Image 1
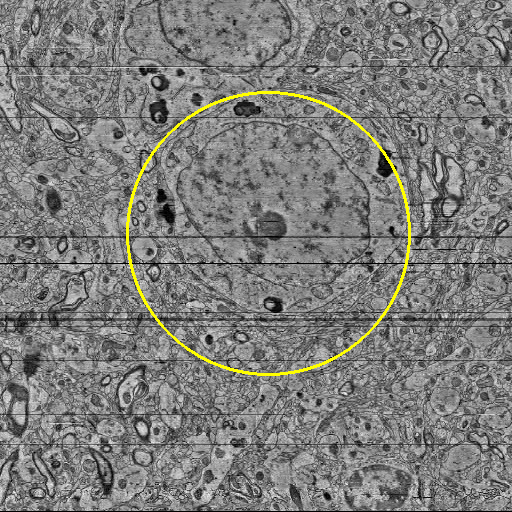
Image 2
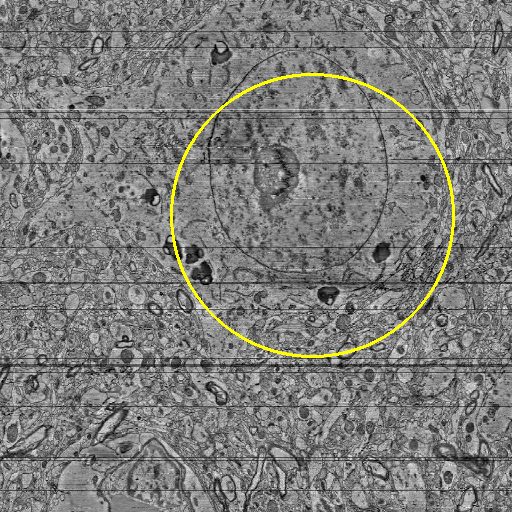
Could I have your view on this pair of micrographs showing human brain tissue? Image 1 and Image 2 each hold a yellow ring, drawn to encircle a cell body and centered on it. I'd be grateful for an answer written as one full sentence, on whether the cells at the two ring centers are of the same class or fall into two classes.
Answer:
The cells at the centers of the two rings are of the same class.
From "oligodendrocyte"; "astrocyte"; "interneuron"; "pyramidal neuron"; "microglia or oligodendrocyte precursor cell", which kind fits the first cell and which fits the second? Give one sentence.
Both pictures show a pyramidal neuron at the centre of the ring.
